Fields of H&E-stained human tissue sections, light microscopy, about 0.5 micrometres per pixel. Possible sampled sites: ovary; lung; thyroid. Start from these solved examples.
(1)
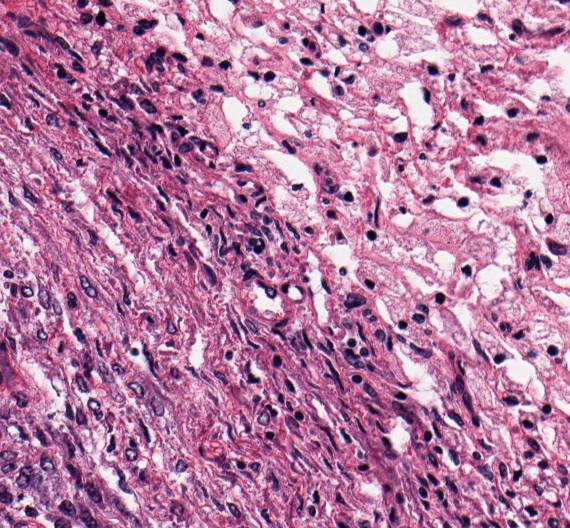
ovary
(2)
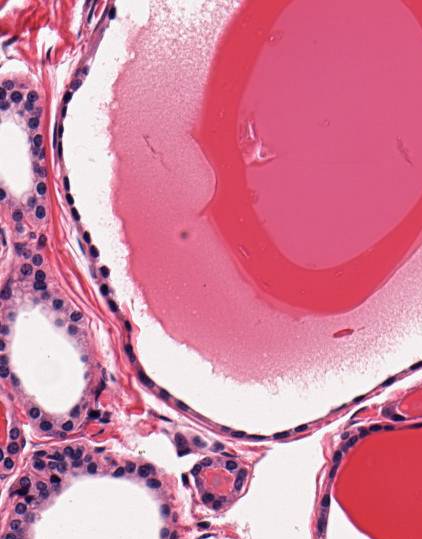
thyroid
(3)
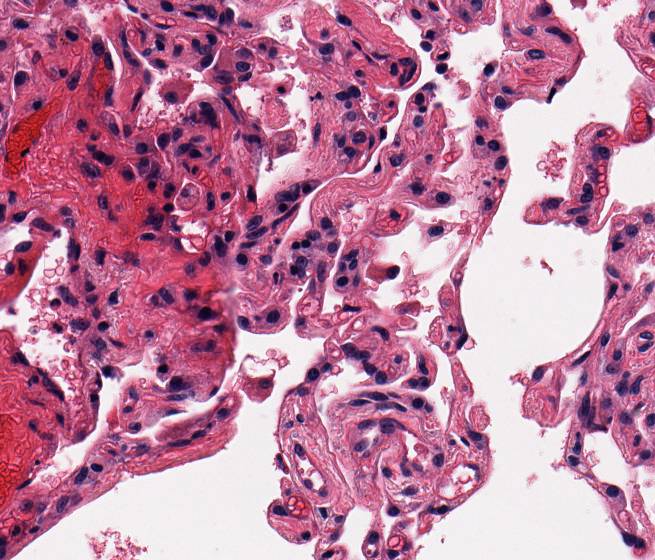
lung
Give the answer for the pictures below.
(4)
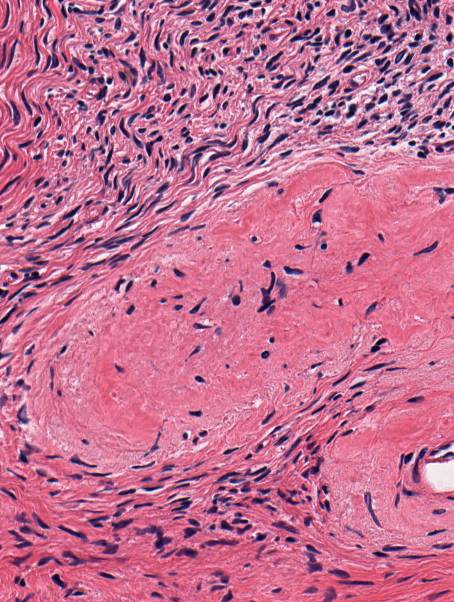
ovary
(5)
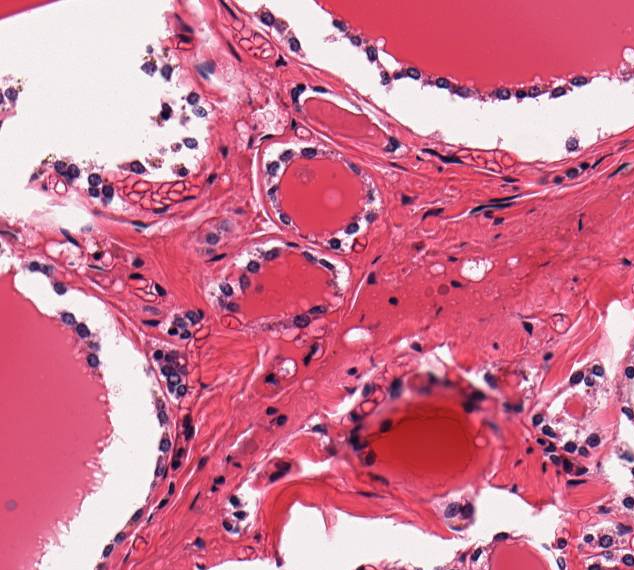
thyroid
